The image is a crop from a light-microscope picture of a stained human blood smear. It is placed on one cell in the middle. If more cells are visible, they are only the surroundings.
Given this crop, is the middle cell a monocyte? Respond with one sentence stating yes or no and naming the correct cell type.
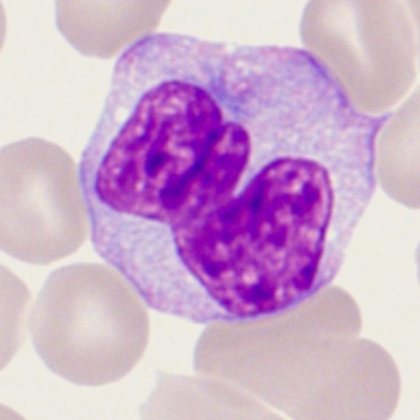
Yes, a monocyte is the cell positioned in the middle of the field.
